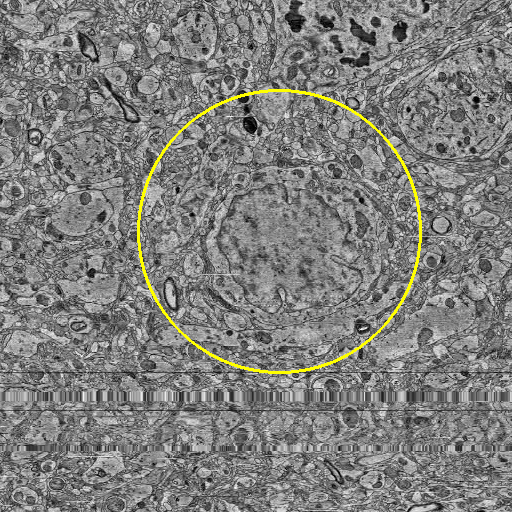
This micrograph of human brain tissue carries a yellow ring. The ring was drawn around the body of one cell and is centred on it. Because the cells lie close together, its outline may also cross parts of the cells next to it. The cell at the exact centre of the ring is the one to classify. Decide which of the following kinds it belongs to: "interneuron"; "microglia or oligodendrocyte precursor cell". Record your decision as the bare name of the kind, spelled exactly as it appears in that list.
interneuron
